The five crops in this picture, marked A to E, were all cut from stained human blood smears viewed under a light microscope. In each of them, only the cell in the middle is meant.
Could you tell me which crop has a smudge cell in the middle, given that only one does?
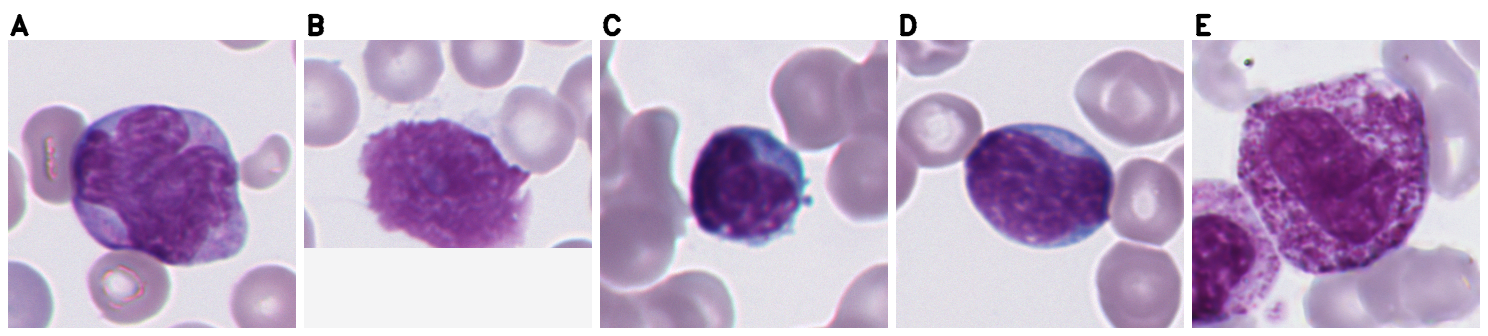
B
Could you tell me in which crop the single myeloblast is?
D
